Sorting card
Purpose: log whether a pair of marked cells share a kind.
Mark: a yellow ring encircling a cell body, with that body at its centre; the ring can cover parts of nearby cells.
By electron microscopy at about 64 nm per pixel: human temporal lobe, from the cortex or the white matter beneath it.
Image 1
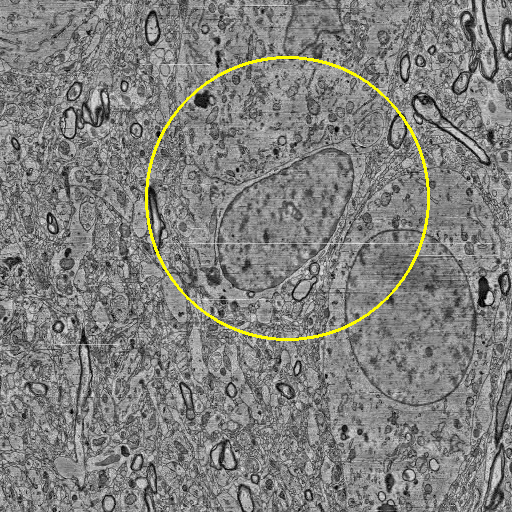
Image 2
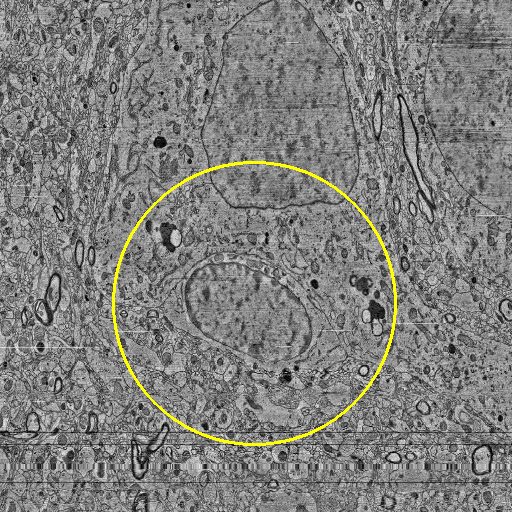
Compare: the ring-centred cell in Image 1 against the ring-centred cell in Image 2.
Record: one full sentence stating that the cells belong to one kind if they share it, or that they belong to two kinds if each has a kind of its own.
Across Images 1 and 2, the two ring-centred cells belong to one kind.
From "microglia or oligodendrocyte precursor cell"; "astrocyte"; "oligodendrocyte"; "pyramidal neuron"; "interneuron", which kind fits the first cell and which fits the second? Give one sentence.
Each of the two rings surrounds a microglial cell or oligodendrocyte precursor cell.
